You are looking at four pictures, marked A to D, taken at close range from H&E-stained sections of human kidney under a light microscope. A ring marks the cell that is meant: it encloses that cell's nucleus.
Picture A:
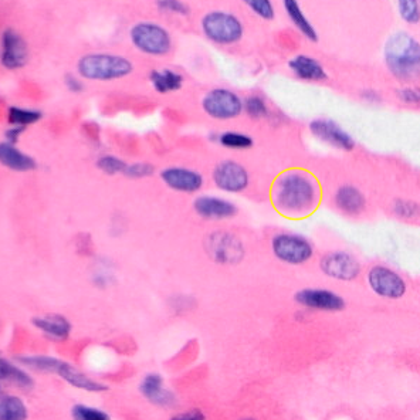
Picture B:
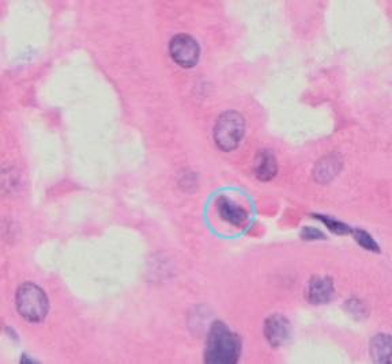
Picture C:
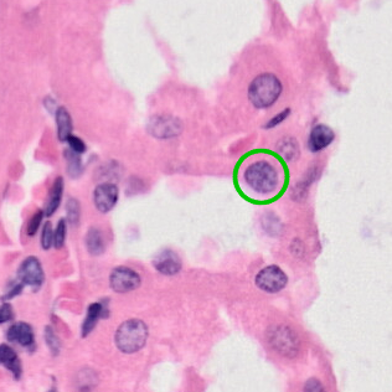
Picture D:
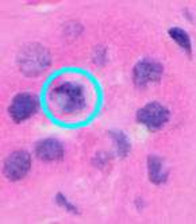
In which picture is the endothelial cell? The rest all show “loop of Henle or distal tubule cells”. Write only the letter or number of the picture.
B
